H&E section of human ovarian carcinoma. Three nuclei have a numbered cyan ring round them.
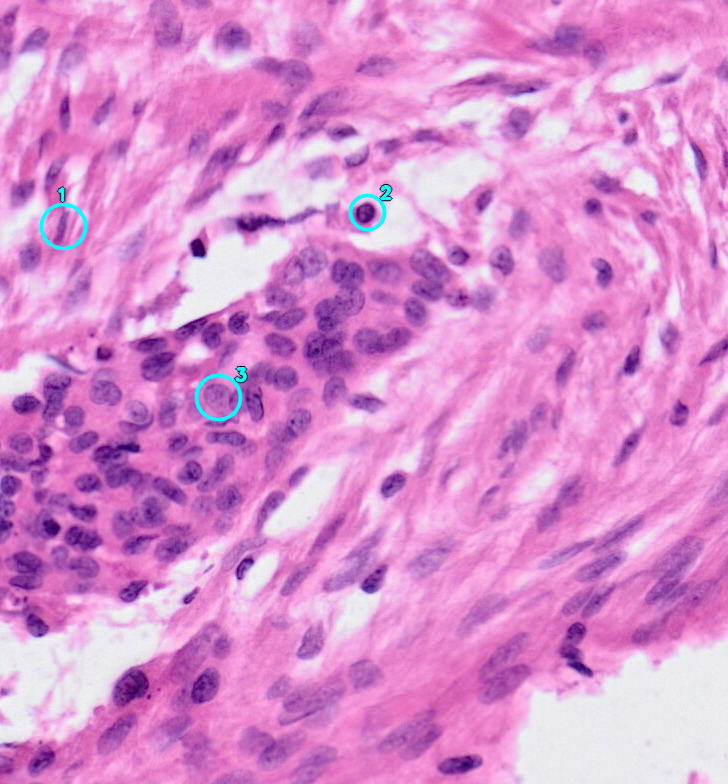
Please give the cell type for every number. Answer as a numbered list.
1. fibroblast
2. macrophage or monocyte
3. carcinoma cell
